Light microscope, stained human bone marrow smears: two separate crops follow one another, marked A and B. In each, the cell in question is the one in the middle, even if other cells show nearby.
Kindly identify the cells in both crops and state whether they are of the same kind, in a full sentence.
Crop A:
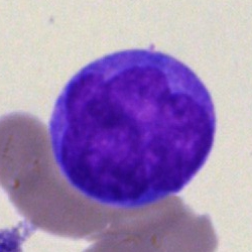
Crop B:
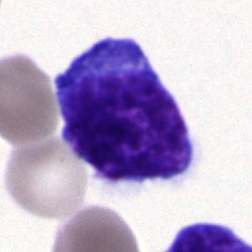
Yes, the reply for both crops is blasts.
